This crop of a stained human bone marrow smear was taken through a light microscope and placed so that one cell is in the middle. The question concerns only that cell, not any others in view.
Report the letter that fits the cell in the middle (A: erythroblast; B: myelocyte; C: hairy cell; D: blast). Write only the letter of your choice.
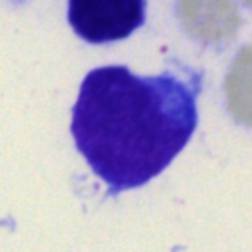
D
